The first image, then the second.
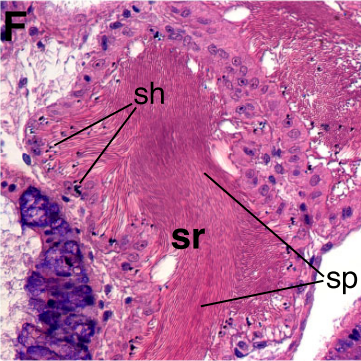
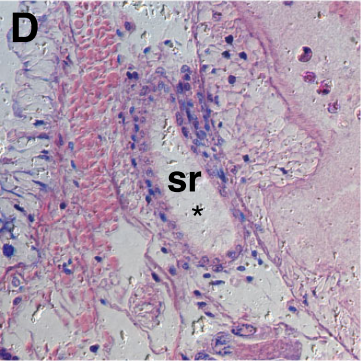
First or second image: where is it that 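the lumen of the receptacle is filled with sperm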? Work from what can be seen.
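The first image. First image: the lumen is packed with pink, thread-like sperm in wavy parallel bundles. Second image: the lumen marked by the asterisk is narrow and largely empty, lined by a thin cellular wall.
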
